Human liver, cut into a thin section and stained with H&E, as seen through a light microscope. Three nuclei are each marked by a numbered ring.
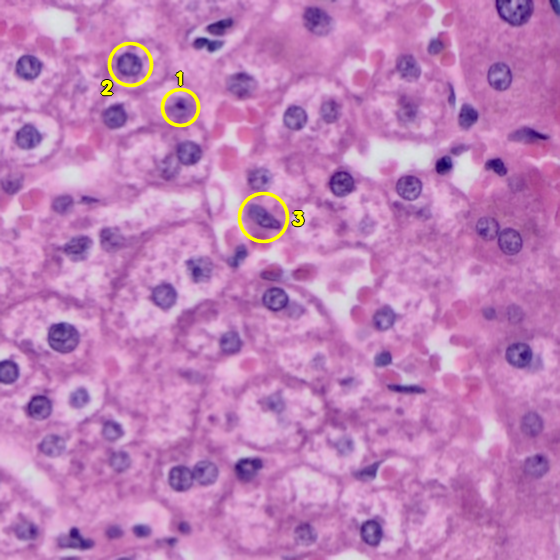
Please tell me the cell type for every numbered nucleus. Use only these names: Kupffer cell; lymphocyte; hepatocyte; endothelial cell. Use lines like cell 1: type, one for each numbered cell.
cell 1: hepatocyte
cell 2: hepatocyte
cell 3: Kupffer cell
